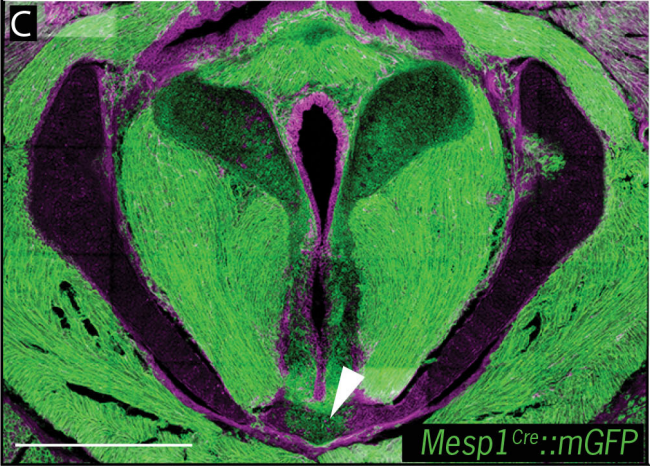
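This horizontal section of the larynx shows the vocal fold muscles and the surrounding thyroid cartilage around a narrow central lumen. Large paired muscle masses are bright green, with fibres running in long parallel streaks. A dark, largely unlabelled U-shaped cartilage band encloses the muscles at the front and sides. At the ventral midline, where the two arms of the band meet, a small patch of green lies within the cartilage.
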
